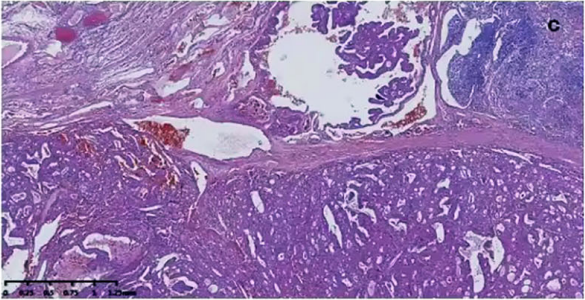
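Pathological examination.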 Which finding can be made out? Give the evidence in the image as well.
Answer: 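A dilated space at the top holds a branching cluster of tumor cells. Red blood cells lie beside the cluster in the lumen. On this evidence: Tumor thrombi.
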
